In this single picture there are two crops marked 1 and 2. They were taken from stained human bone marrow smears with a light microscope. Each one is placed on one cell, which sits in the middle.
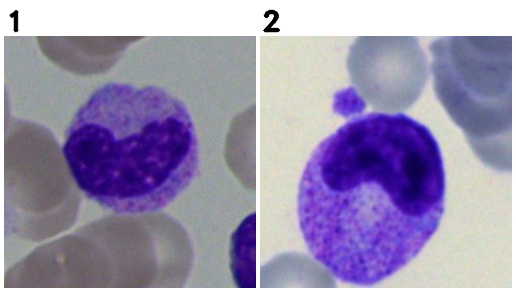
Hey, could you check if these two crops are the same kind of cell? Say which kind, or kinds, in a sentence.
Yes, both crops show a cell each, and these are metamyelocytes.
